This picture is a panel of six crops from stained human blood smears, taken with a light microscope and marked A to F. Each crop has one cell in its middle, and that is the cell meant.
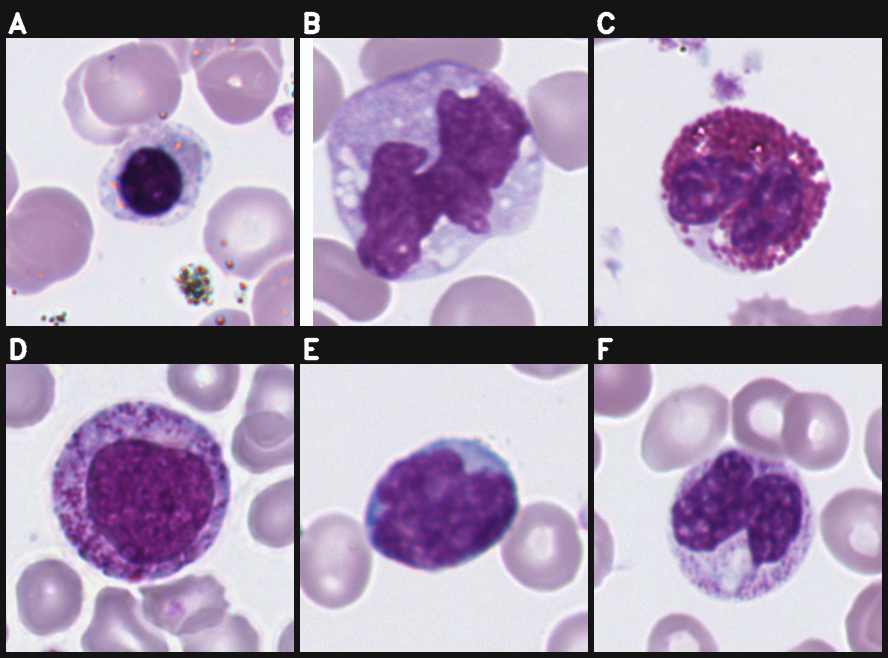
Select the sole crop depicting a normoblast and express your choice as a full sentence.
The sole crop showing a normoblast is crop A.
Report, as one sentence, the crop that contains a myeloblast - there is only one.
Only in crop E is a myeloblast shown.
